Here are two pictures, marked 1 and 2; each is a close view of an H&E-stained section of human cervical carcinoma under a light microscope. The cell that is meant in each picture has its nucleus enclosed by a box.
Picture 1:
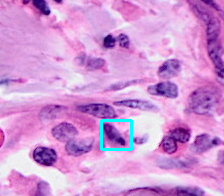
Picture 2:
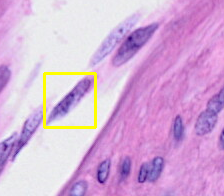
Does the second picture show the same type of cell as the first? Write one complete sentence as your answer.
No, they differ: the cell is a “macrophage or monocyte” in picture 1 and an endothelial cell in picture 2.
